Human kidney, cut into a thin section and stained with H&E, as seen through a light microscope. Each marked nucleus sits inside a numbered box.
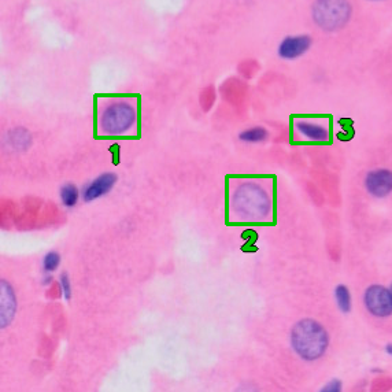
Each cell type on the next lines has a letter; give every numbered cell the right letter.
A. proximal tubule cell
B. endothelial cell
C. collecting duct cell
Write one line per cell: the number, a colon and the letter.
1: A
2: A
3: B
